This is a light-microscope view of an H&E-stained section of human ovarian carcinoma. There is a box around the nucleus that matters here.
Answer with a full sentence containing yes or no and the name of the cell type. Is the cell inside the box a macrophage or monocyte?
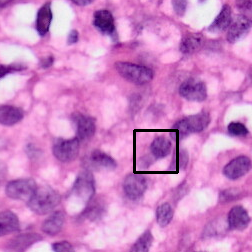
No, rather than being a macrophage or monocyte, the cell inside the box is a carcinoma cell.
